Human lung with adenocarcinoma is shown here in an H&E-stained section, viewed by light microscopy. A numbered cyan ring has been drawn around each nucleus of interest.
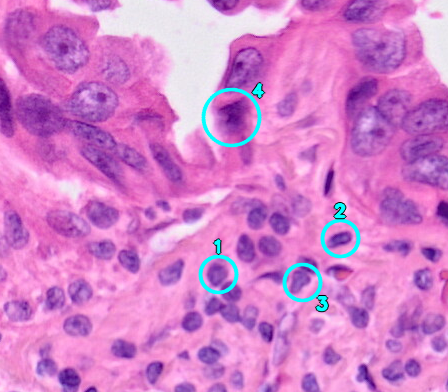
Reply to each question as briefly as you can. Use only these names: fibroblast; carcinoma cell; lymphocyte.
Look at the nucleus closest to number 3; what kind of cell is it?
lymphocyte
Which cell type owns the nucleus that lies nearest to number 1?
lymphocyte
